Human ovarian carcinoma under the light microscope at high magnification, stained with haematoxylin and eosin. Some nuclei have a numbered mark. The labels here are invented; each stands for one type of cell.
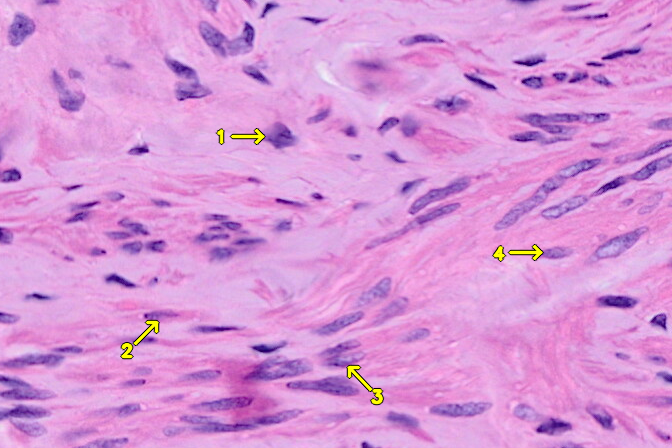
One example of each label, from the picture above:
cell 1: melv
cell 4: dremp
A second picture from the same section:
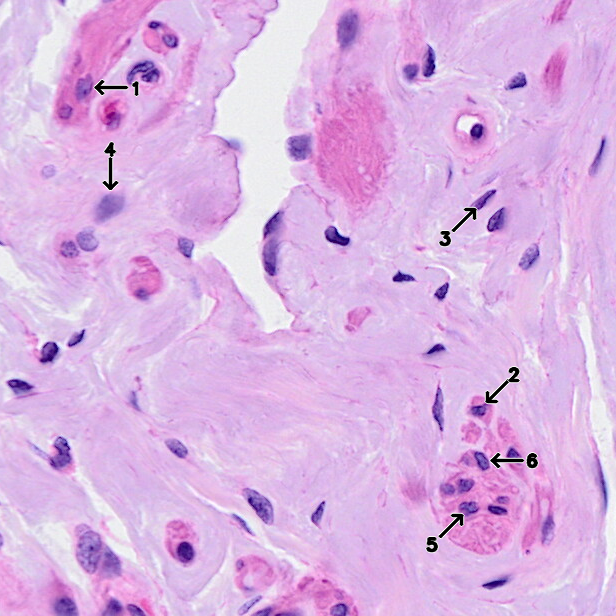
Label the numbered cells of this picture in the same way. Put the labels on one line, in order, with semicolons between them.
dremp; dremp; melv; melv; dremp; dremp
